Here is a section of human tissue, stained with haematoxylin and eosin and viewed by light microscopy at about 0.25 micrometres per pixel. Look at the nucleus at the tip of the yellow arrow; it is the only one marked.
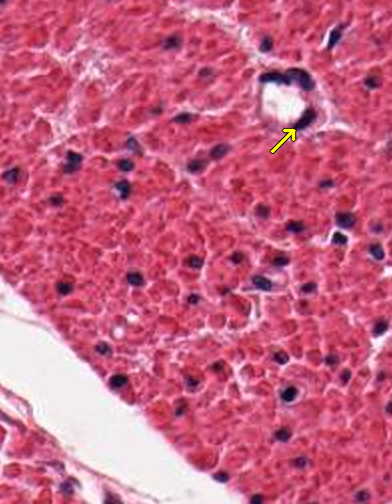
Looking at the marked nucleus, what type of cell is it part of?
endothelial cell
